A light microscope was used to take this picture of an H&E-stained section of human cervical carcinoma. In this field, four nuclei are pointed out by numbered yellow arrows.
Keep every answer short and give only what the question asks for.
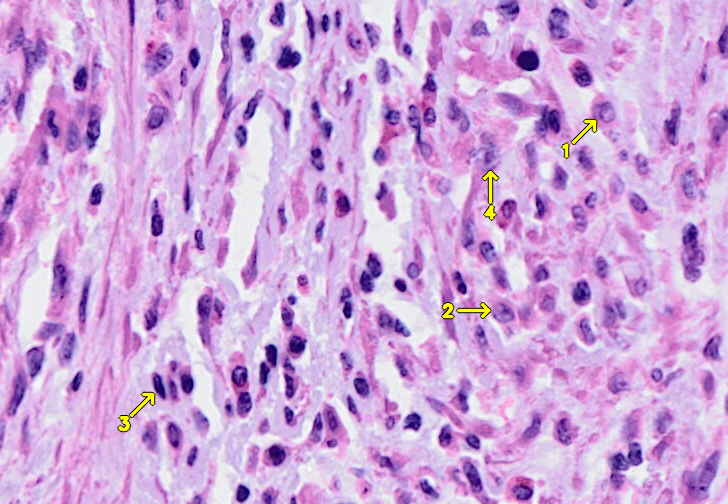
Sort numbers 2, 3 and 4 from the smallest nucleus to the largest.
3, 2, 4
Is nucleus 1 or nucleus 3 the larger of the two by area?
1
